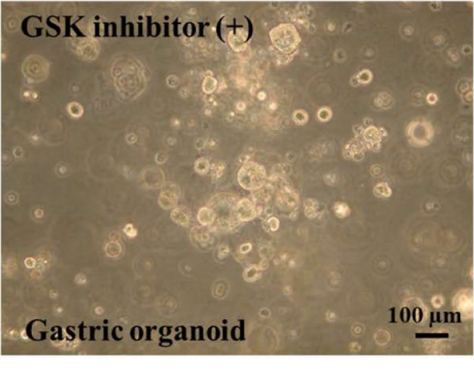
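Many appear as round, refractile spheres of varying size, from small dots to bodies several times larger. Some organoids lie in clusters or irregular groups, while others float singly at different depths, so some are sharp and others blurred. Individual cells can hardly be made out at this magnification; what is seen is the overall three-dimensional shape of each organoid.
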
